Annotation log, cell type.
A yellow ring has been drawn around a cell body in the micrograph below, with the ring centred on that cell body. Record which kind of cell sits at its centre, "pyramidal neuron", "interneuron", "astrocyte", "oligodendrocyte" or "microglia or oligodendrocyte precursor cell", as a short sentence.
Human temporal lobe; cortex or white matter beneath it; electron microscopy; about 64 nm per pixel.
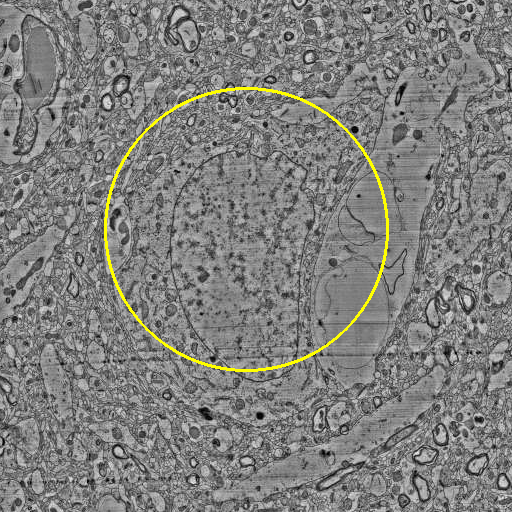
The cell at the centre of this ring is a pyramidal neuron.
